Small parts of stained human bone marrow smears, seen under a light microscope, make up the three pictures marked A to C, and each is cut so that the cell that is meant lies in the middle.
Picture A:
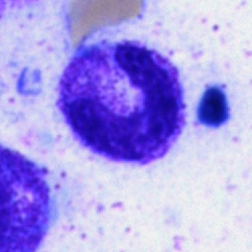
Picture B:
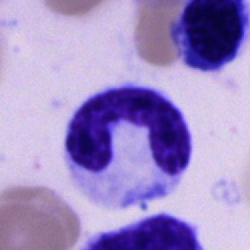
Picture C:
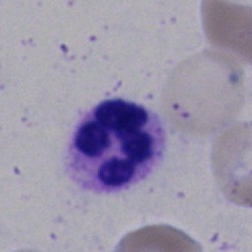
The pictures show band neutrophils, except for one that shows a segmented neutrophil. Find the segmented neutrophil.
C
